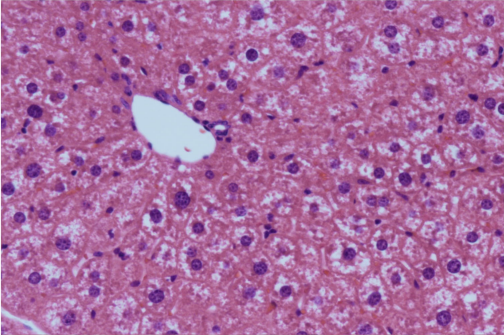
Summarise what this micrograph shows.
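Normal liver tissue around a central vein, with hepatocytes whose cytoplasm holds many intracytoplasmic vacuoles. Narrow sinusoids run between the plates. The vein is lined by a thin layer of flattened cells, and there is no sign of necrosis or inflammatory cells.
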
